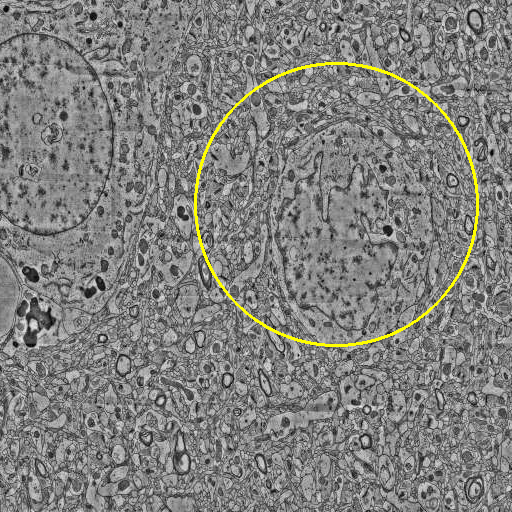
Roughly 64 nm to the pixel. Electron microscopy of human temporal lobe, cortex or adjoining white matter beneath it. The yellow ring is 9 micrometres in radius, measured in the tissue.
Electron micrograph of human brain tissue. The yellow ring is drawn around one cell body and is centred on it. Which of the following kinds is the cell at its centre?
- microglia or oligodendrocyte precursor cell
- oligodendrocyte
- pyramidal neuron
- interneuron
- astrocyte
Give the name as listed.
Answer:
interneuron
